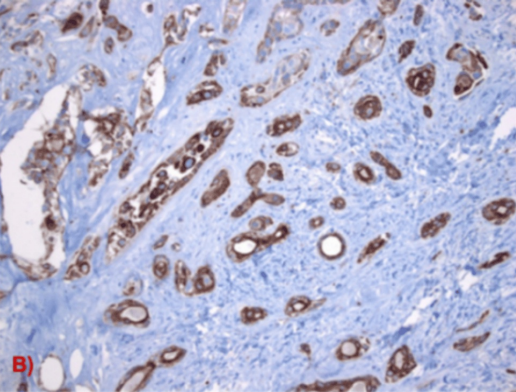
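Tumor cells of a carcinoma form many small nests, cords and ring-shaped clusters, some around central lumens, that are stained brown in their cytoplasm. The nests are scattered in a pale blue fibrous stroma that is itself unstained.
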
